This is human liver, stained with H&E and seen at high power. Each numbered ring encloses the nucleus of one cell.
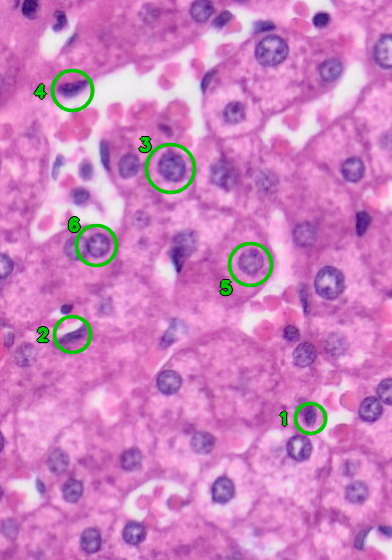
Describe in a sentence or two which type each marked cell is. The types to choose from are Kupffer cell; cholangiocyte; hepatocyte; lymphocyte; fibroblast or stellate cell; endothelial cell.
Cell 1 is a Kupffer cell, cell 2 is an endothelial cell, cell 3 is a hepatocyte, cell 4 is a fibroblast or stellate cell, cell 5 is a hepatocyte and cell 6 is a hepatocyte.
